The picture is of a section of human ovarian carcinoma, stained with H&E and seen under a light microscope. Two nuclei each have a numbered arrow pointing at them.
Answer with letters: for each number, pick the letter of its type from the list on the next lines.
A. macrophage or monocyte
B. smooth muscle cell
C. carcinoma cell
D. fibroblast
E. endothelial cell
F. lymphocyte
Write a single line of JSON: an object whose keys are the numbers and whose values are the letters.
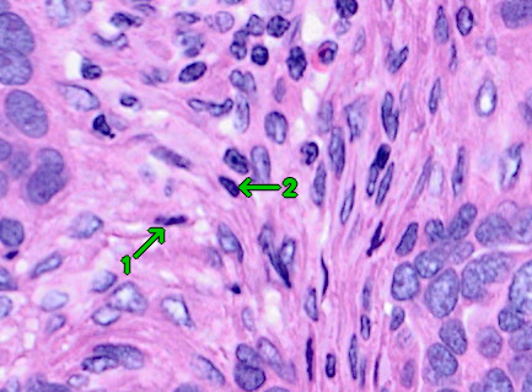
{"1": "D", "2": "F"}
